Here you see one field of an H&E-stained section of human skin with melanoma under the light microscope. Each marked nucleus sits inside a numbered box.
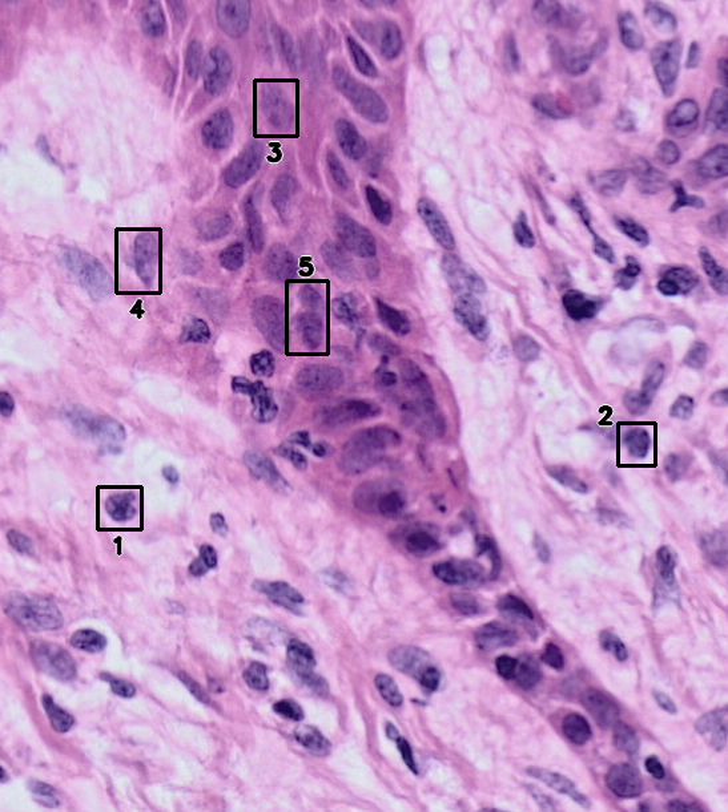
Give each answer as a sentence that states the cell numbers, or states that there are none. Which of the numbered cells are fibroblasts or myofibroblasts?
Cell 4 is the single numbered cell that is a fibroblast or myofibroblast.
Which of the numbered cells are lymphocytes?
By cell type, the cells numbered 1 and 2 are lymphocytes.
